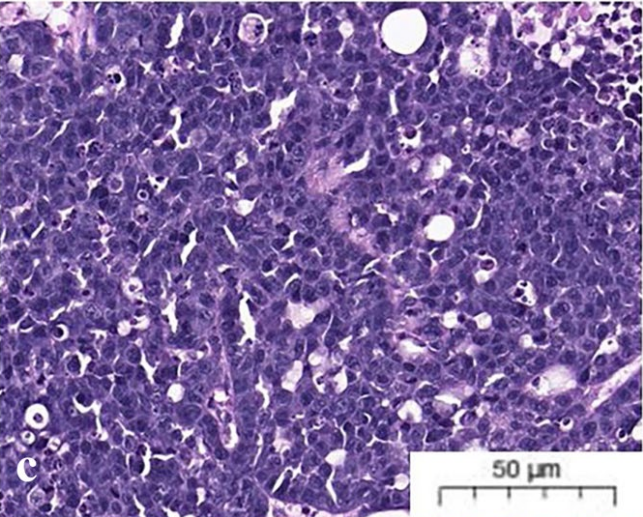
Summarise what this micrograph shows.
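The cells are packed into solid sheets and clusters, with very little space between them. Each cell has a relatively large, rounded to oval nucleus and a modest rim of purplish cytoplasm, so the whole field looks dark and cellular. Narrow slit-like clefts and small round clear spaces break up the sheets here and there, some containing a few rounded cells or debris. There is almost no pink stroma; the picture is one of dense, viable tumor tissue.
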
